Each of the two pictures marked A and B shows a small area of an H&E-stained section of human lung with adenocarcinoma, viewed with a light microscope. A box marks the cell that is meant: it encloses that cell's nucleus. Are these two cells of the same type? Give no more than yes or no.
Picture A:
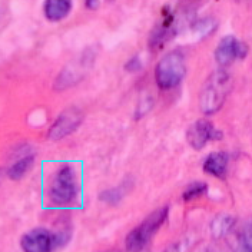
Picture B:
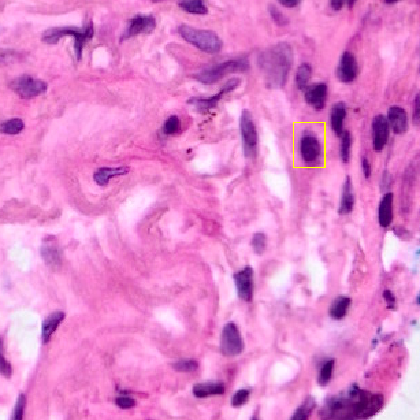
yes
